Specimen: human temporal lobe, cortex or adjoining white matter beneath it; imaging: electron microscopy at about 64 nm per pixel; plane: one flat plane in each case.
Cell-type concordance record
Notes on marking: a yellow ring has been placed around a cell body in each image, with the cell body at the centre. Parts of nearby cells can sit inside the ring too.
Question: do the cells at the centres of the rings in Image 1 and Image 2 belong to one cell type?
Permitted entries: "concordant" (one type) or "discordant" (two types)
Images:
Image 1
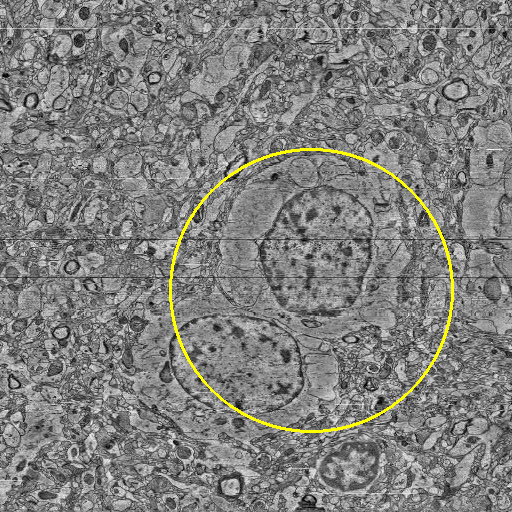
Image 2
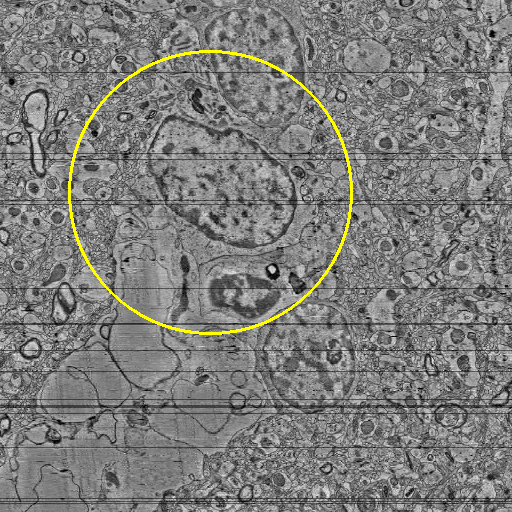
discordant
